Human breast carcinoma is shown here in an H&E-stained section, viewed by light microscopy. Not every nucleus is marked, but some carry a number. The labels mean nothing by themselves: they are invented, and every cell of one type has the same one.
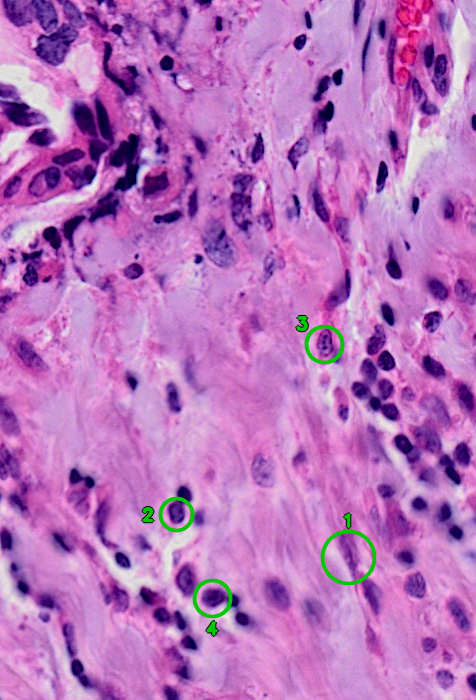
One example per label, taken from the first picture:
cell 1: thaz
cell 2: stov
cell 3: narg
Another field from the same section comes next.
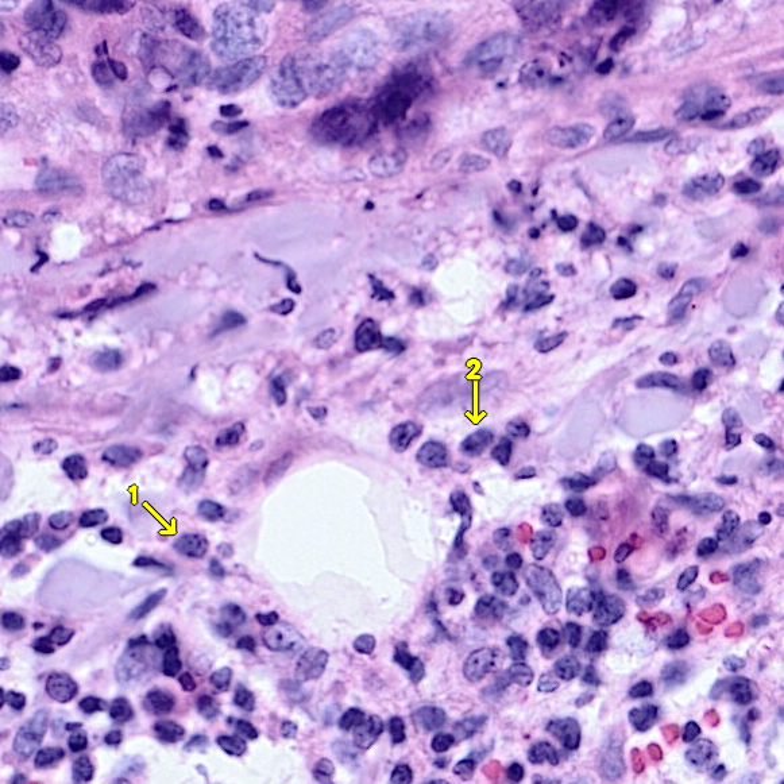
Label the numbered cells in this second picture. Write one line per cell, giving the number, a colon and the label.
1: narg
2: stov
